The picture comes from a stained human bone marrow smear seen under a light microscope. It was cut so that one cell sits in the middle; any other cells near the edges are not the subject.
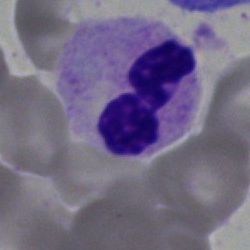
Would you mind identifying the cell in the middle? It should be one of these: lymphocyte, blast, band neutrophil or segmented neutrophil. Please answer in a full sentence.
In this crop, the cell at the very middle is a segmented neutrophil.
